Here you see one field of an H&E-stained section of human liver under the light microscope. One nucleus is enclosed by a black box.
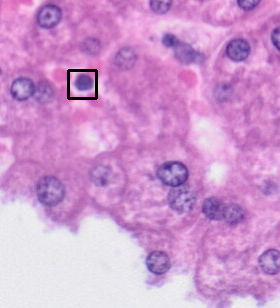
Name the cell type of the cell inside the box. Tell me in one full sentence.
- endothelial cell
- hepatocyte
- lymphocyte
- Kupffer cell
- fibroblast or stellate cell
For the purposes of cell typing, the cell inside the box is categorized as a lymphocyte.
